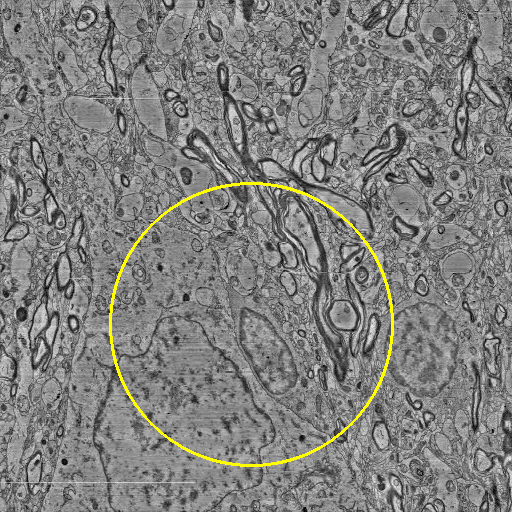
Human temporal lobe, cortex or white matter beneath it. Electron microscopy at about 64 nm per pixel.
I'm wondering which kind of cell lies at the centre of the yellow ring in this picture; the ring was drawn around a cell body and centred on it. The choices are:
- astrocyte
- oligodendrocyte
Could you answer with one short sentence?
At the centre of the ring lies an oligodendrocyte.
